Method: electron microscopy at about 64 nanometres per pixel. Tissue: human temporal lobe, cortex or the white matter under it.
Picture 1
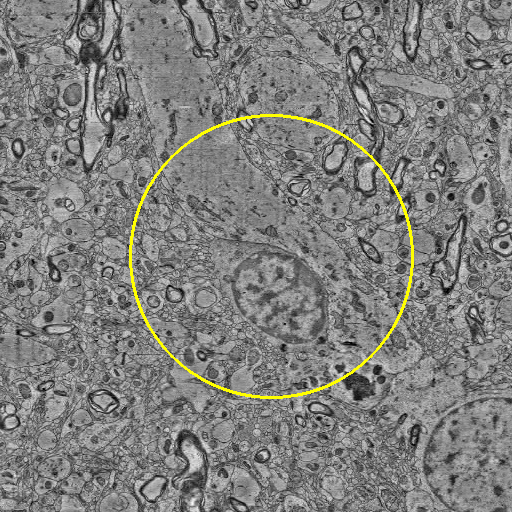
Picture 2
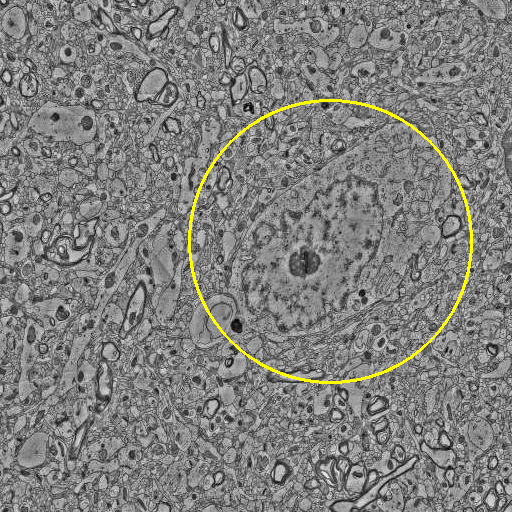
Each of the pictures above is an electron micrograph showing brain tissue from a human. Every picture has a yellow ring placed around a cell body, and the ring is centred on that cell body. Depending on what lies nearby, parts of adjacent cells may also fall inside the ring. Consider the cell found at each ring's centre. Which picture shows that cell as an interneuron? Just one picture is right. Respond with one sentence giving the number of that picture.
The picture showing the wanted cell at the ring's centre is number 2.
